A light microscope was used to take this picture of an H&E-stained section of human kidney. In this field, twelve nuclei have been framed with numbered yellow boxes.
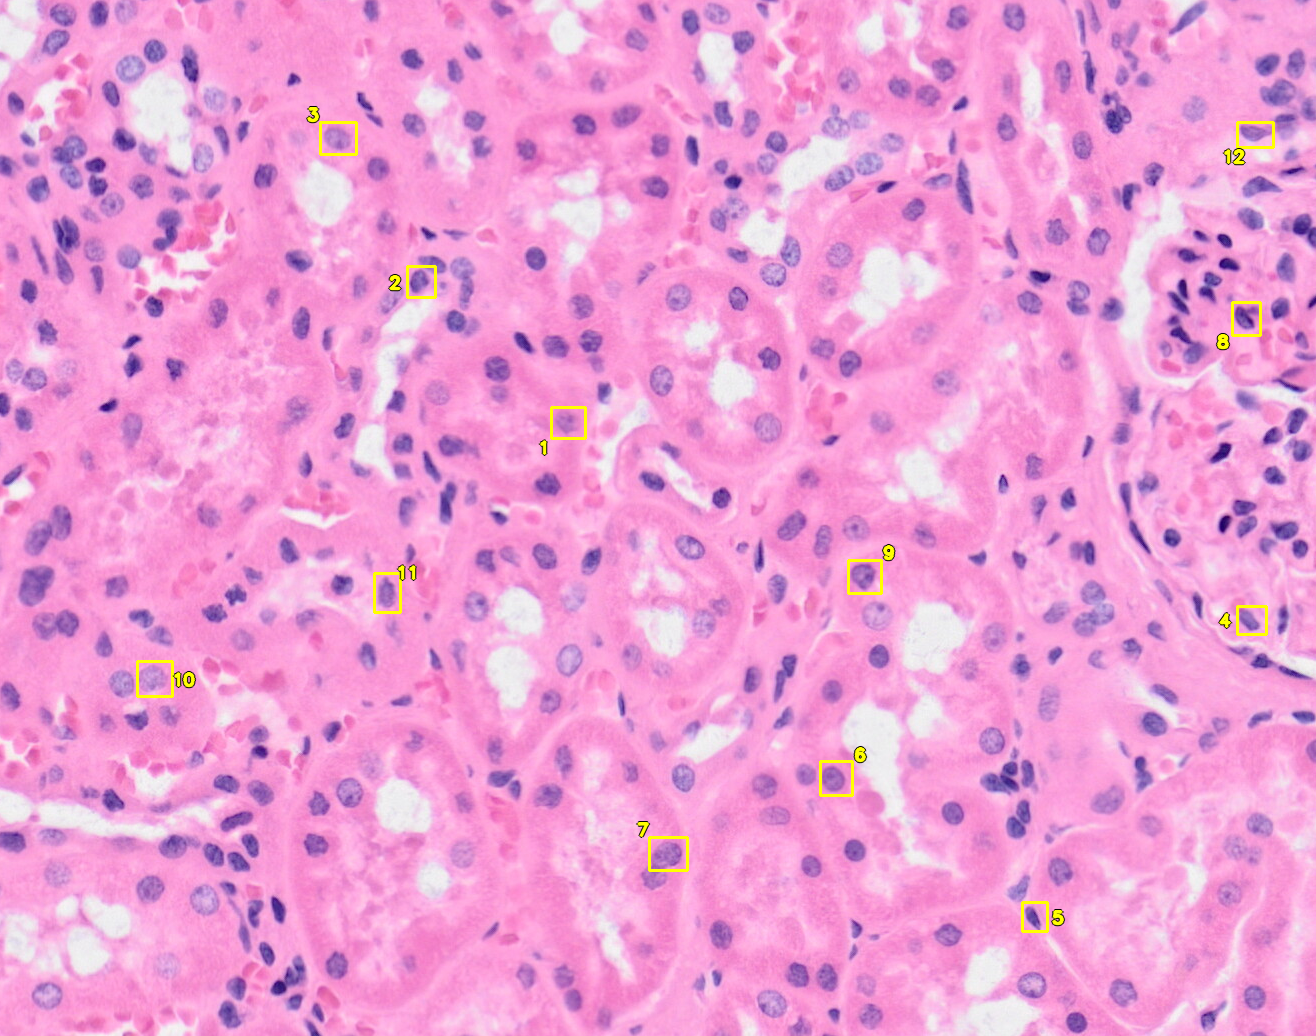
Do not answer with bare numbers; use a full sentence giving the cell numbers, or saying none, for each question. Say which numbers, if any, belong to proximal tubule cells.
The numbers 1, 3, 6, 7 and 9 in this section indicate proximal tubule cells.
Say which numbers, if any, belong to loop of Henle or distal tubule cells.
Within this tissue, the cells numbered 10 and 11 are loop of Henle or distal tubule cells.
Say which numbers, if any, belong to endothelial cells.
Within the section, cells numbered 4, 5, 8 and 12 are endothelial cells.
